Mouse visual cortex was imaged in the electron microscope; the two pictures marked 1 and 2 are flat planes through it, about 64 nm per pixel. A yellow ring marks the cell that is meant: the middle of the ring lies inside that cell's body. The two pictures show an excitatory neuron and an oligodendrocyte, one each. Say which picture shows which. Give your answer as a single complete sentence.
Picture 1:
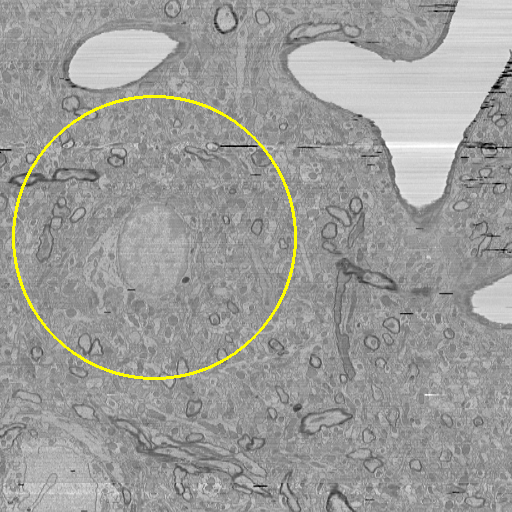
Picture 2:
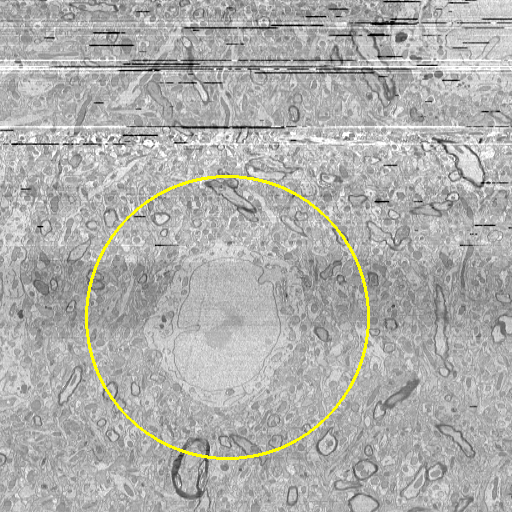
The cell in picture 1 is an oligodendrocyte, and the one in picture 2 is an excitatory neuron.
